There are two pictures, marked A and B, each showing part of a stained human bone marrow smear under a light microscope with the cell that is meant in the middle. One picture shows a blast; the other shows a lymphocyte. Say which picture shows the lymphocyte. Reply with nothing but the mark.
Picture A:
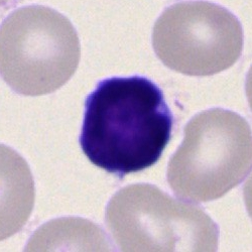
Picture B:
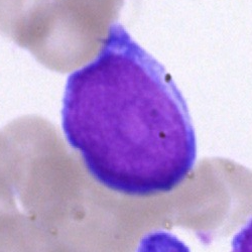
A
